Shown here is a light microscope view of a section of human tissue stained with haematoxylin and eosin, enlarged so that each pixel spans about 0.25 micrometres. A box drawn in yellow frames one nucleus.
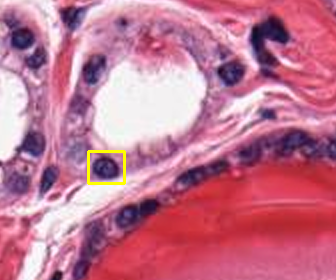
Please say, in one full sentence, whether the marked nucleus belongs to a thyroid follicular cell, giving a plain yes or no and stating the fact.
Yes, belonging to a thyroid follicular cell is the marked nucleus.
